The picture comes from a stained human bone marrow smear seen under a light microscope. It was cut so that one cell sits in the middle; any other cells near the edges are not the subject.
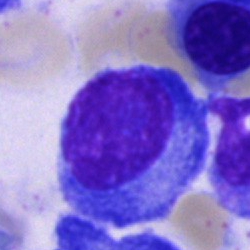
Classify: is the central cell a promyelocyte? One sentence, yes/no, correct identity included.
No, the centre of the crop contains a plasma cell rather than a promyelocyte.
